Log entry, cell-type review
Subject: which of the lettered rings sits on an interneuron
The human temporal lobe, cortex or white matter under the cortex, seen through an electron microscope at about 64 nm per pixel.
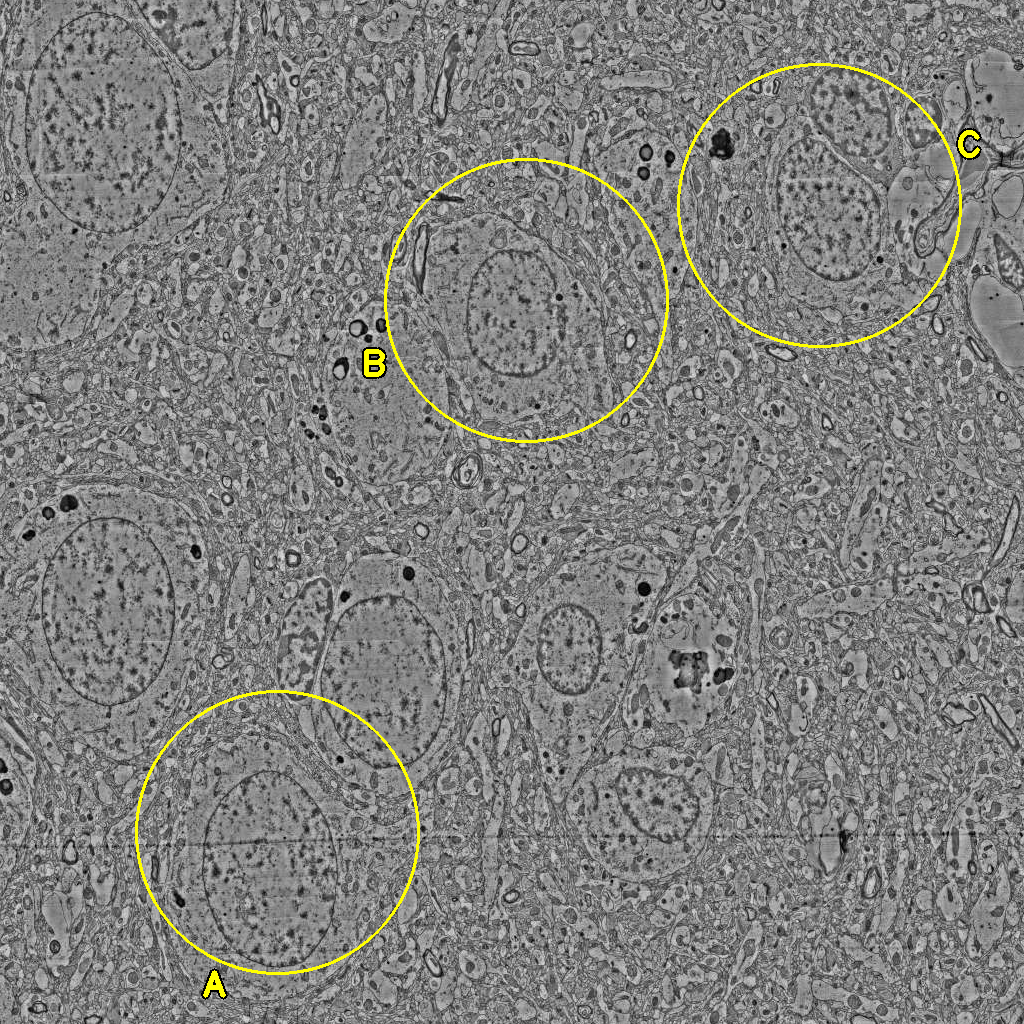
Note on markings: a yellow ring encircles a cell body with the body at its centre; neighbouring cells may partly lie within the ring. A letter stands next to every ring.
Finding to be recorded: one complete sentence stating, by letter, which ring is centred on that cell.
The cell sits at the centre of ring C.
